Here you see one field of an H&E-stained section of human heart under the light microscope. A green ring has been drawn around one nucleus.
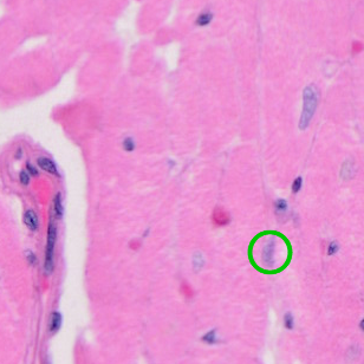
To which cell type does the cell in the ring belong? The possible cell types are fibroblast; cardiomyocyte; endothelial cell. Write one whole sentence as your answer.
Cell type answer for this item: the cell in the ring is a fibroblast.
